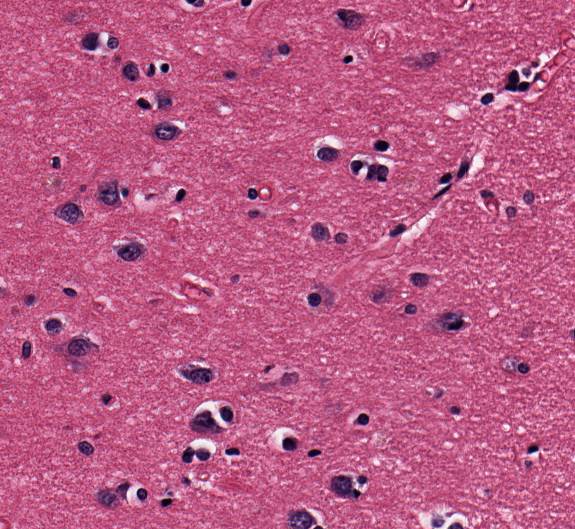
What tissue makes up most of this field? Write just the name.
cerebral cortex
